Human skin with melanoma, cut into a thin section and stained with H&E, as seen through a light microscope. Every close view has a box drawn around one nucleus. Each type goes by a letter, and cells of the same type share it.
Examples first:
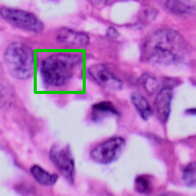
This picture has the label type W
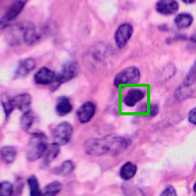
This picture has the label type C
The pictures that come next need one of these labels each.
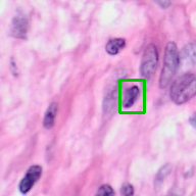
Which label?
type C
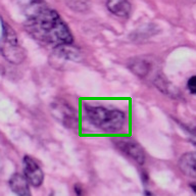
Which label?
type W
